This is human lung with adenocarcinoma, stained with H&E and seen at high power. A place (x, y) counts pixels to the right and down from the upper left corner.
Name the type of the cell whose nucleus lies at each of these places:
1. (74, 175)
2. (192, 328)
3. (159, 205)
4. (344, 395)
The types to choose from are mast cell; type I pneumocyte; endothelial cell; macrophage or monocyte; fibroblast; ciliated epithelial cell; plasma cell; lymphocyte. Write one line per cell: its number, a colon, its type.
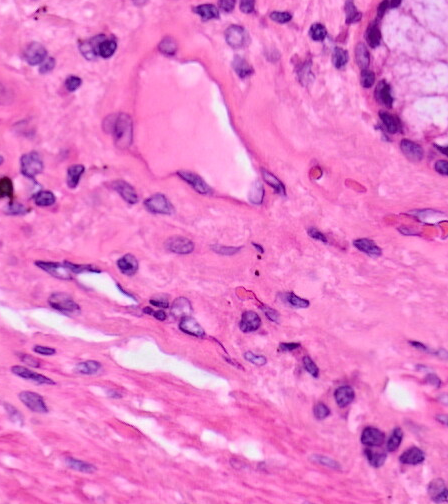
1: lymphocyte
2: endothelial cell
3: fibroblast
4: plasma cell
